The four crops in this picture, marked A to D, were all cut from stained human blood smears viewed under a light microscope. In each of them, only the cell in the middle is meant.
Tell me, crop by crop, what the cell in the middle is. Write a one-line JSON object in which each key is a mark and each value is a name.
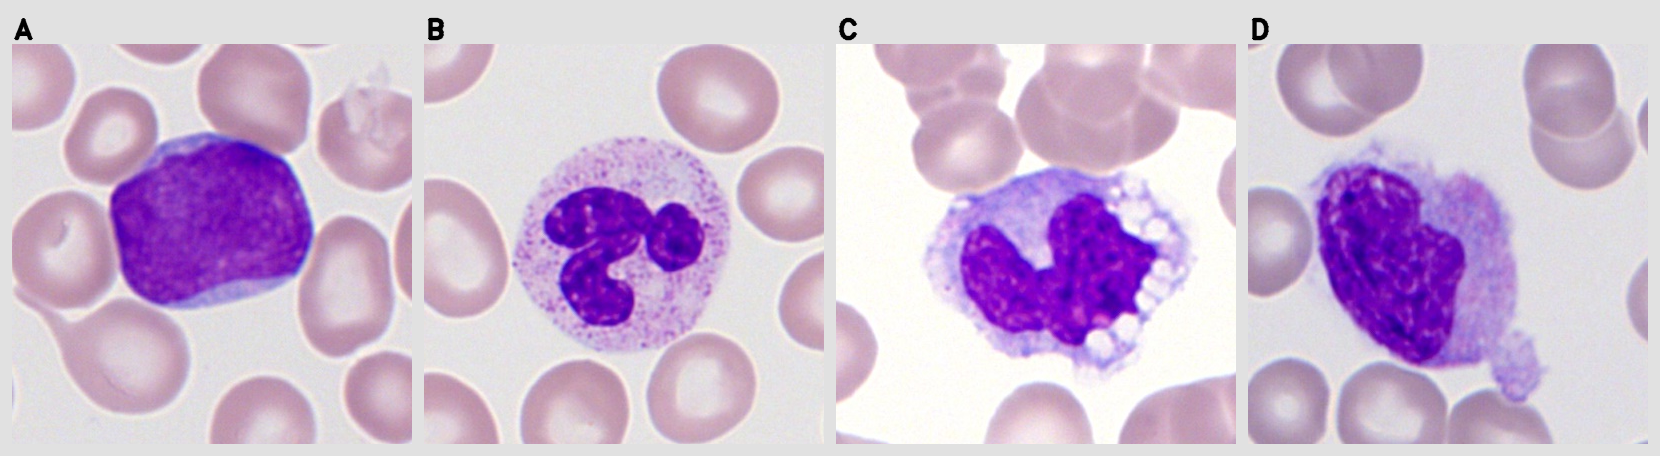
{"A": "myeloblast", "B": "segmented neutrophil", "C": "monocyte", "D": "monocyte"}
